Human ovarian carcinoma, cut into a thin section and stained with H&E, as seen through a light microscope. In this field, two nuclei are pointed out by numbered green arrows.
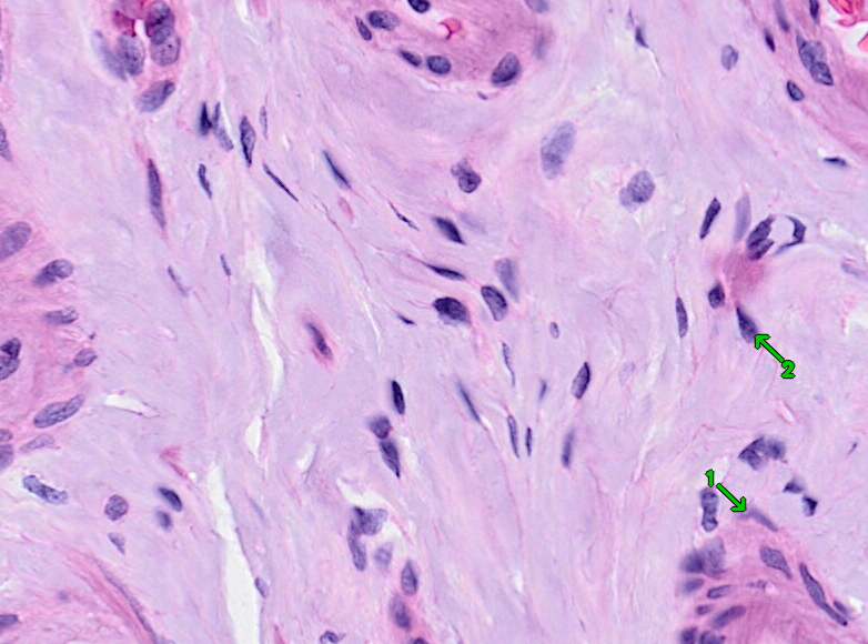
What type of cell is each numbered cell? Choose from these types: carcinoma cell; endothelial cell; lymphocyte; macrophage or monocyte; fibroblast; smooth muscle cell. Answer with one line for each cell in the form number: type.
1: smooth muscle cell
2: fibroblast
